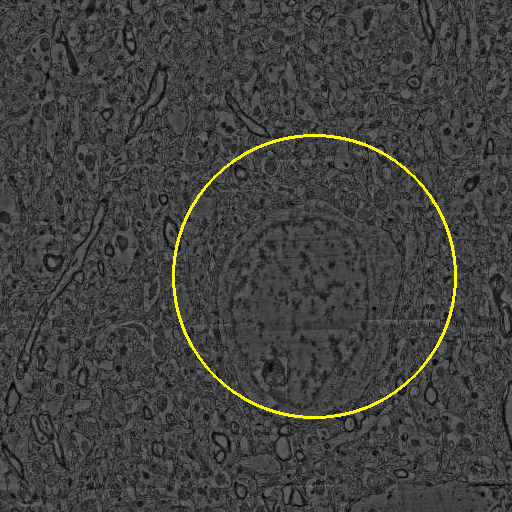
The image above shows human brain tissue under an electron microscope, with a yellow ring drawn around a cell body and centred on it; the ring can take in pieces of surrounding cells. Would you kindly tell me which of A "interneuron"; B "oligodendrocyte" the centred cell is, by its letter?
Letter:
A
